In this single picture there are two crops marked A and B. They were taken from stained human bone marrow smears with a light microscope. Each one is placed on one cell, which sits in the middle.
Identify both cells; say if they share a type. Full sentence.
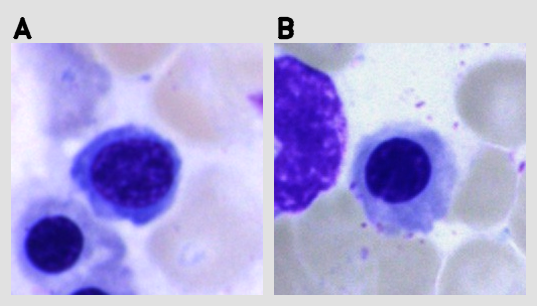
Yes, erythroblasts are what the two crops show.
